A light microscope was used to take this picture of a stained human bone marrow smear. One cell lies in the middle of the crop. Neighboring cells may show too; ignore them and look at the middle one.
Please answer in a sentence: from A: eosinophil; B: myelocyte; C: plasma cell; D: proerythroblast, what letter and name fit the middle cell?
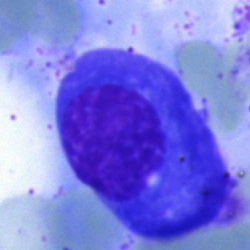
The central cell of the crop is a plasma cell, which makes C the correct option.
